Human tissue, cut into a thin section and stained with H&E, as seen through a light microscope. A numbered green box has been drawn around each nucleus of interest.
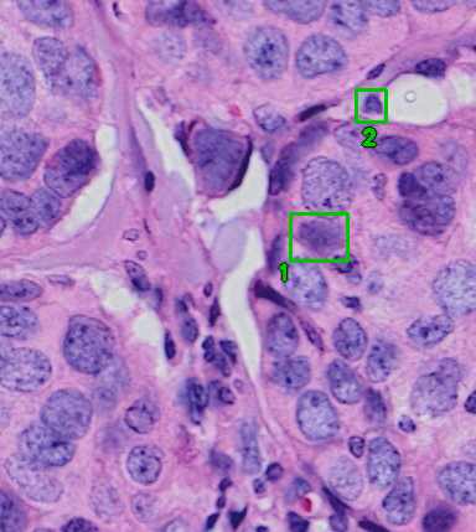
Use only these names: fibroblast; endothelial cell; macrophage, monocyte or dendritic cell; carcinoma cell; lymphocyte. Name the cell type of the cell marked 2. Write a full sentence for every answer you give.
The cell assigned the number 2 is a lymphocyte.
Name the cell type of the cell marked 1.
Denoted by the label 1 in the section is a carcinoma cell.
